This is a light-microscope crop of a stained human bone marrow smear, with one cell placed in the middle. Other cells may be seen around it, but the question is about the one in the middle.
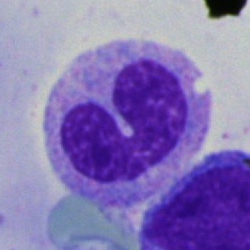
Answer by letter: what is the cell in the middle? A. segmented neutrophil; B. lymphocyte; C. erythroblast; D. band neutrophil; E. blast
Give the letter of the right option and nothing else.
D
